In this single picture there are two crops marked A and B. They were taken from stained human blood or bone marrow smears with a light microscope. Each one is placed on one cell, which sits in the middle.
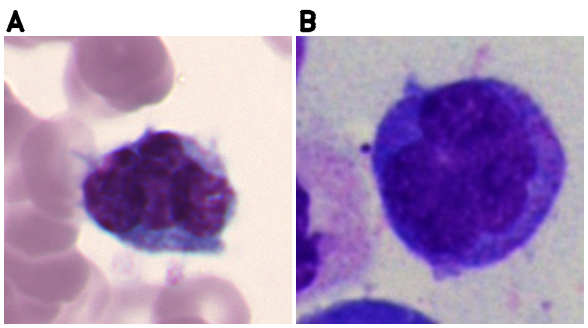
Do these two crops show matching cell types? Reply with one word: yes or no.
yes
